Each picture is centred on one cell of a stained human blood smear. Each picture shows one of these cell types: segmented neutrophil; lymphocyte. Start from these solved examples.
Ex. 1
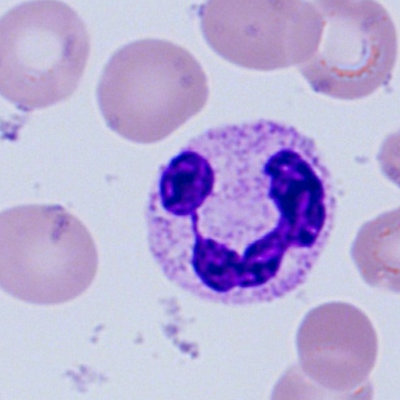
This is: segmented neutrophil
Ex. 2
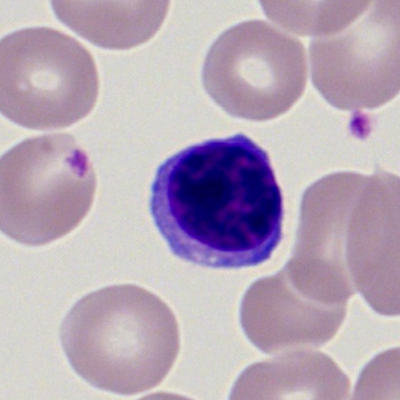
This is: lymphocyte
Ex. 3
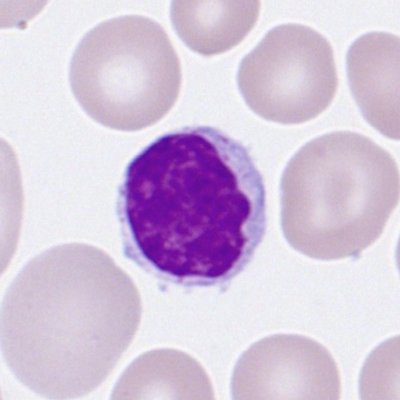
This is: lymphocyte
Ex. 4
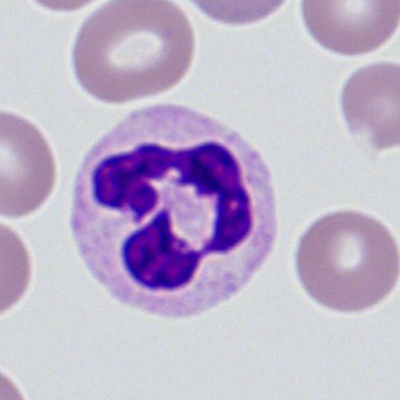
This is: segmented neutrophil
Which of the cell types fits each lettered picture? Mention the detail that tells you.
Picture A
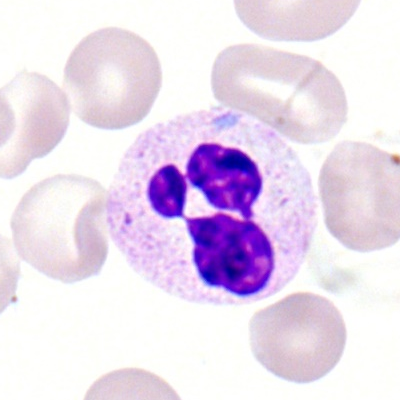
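segmented neutrophil. Reason: The nucleus is divided into three separate lobes.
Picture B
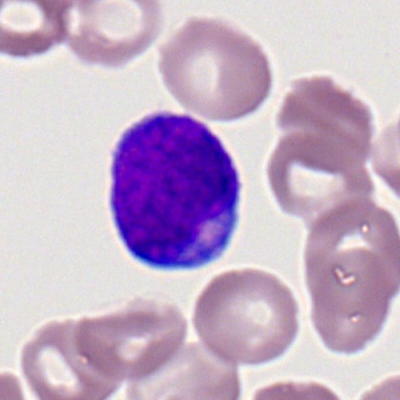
lymphocyte. Reason: Only a very thin rim of cytoplasm is visible.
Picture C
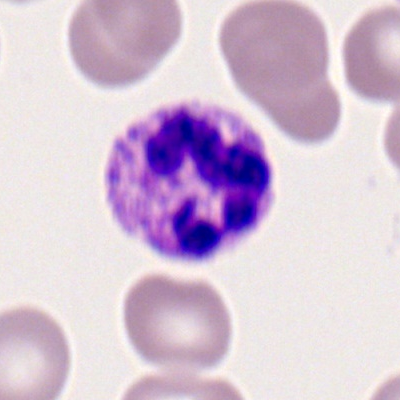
segmented neutrophil. Reason: Pink-violet granules are scattered throughout the cytoplasm.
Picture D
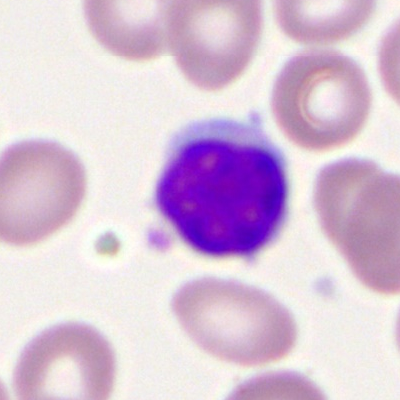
lymphocyte. Reason: The cytoplasm is a scant, pale blue rim.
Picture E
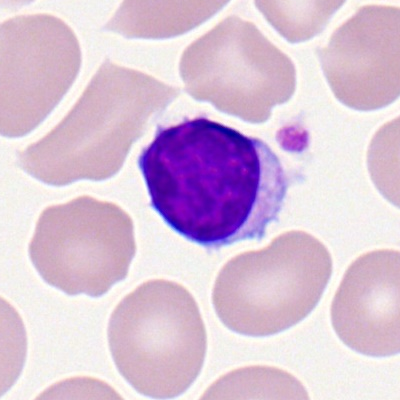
lymphocyte. Reason: The cytoplasm is scant and forms a narrow crescent mostly on the right side.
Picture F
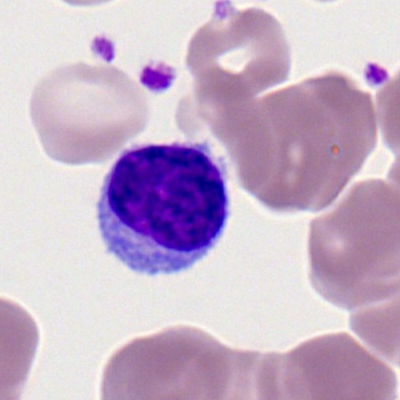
lymphocyte. Reason: The nucleus fills most of the cell and sits toward its upper right.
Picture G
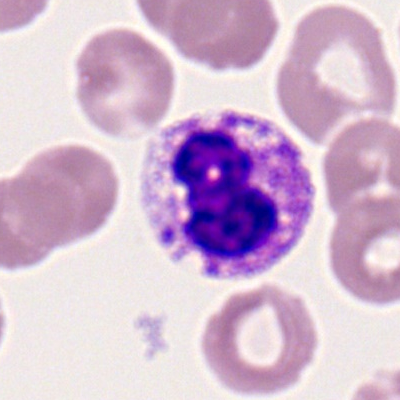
segmented neutrophil. Reason: Cytoplasm forms a broad rim around the nucleus on all sides.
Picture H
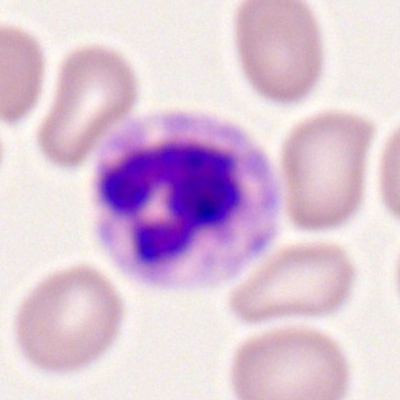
segmented neutrophil. Reason: The nucleus is divided into several lobes.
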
